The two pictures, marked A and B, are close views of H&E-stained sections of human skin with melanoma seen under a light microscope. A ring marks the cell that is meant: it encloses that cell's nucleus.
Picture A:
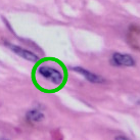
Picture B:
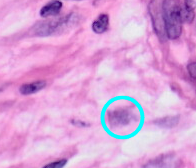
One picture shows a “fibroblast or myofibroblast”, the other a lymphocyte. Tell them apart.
A: lymphocyte
B: fibroblast or myofibroblast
